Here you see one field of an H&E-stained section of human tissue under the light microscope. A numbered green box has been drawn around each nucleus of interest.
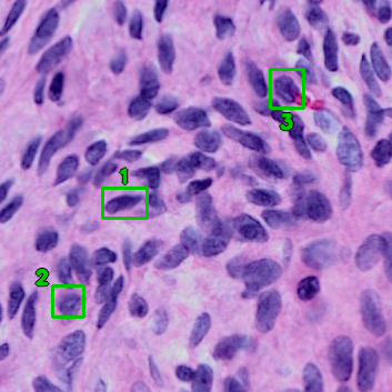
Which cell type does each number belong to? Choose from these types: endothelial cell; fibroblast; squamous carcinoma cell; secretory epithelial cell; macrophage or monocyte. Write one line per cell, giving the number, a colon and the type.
1: fibroblast
2: endothelial cell
3: endothelial cell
